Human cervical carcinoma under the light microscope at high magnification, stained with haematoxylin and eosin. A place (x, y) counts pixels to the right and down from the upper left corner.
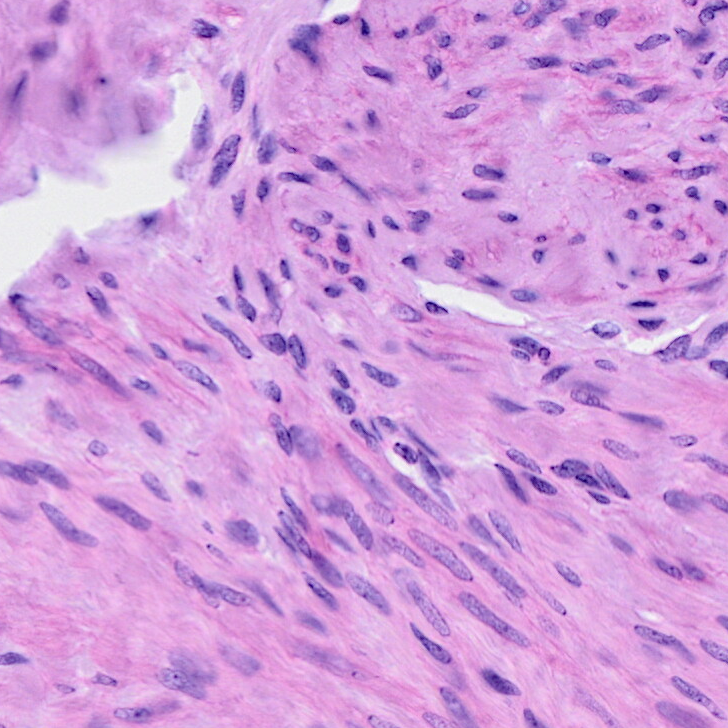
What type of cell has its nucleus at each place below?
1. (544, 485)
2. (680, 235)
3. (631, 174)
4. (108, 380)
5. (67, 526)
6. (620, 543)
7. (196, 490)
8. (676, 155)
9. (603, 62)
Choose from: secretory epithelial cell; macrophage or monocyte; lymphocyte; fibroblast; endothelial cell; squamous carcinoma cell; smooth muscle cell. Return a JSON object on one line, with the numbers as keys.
{"1": "fibroblast", "2": "smooth muscle cell", "3": "smooth muscle cell", "4": "smooth muscle cell", "5": "fibroblast", "6": "fibroblast", "7": "fibroblast", "8": "smooth muscle cell", "9": "smooth muscle cell"}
